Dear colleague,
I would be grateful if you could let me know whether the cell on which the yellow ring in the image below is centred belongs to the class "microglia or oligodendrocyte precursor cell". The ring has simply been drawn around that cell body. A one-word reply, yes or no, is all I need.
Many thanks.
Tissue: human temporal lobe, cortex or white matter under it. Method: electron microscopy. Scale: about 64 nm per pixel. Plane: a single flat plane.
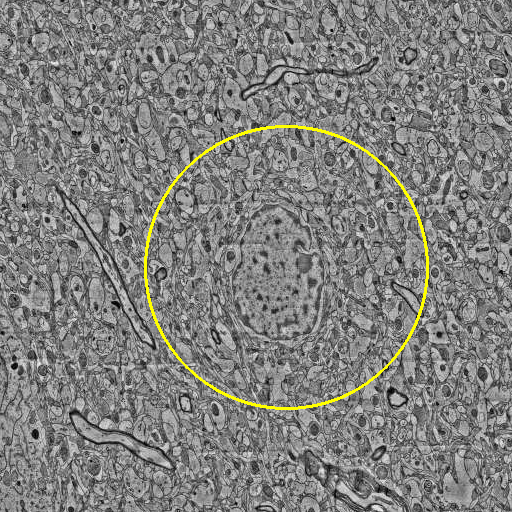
yes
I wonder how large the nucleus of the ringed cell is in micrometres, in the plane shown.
About 9 by 6 micrometers for the nucleus, in this plane.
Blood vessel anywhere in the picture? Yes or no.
No, the image shows no blood vessel.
